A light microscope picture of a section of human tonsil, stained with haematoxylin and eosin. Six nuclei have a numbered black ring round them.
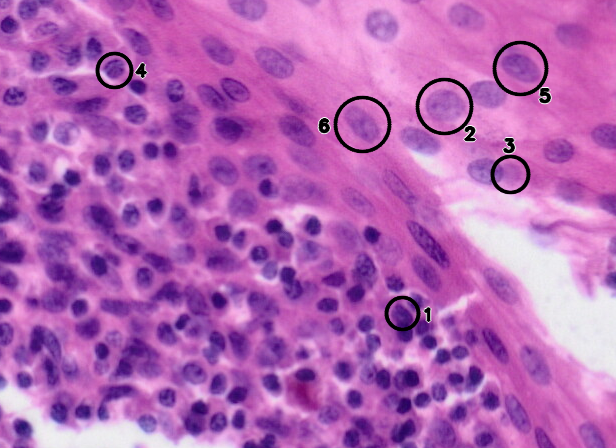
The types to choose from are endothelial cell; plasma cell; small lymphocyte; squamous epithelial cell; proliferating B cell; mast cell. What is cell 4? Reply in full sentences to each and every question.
Cell 4 in the field is a plasma cell.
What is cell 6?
The cell tagged with 6 in this tissue section is a squamous epithelial cell.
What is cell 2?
The numbered cell 2 is identified here as a squamous epithelial cell.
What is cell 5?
The cell bearing label 5 corresponds to a squamous epithelial cell.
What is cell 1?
Looking at the numbered marks, cell 1 is a plasma cell.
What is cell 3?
The cell tagged with 3 in this tissue section is a squamous epithelial cell.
